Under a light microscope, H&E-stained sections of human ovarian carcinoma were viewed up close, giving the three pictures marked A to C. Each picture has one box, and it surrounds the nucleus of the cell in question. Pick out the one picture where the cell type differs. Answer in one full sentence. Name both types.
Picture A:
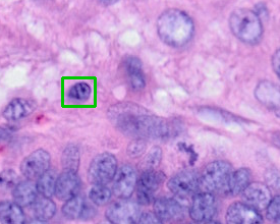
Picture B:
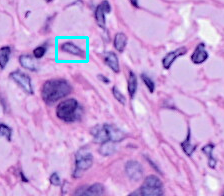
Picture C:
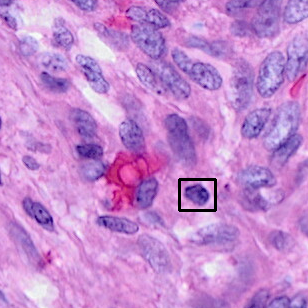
Picture B is the odd one out: it shows a fibroblast, while the others show lymphocytes.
